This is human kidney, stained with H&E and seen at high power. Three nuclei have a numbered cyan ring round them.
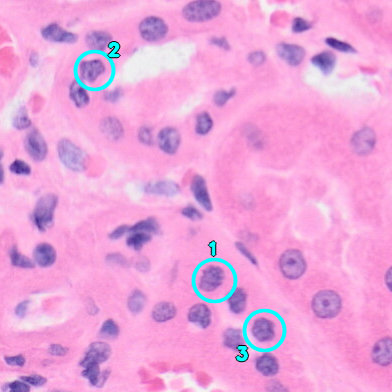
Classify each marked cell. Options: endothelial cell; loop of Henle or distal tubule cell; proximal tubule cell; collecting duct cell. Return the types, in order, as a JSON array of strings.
["loop of Henle or distal tubule cell", "collecting duct cell", "loop of Henle or distal tubule cell"]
